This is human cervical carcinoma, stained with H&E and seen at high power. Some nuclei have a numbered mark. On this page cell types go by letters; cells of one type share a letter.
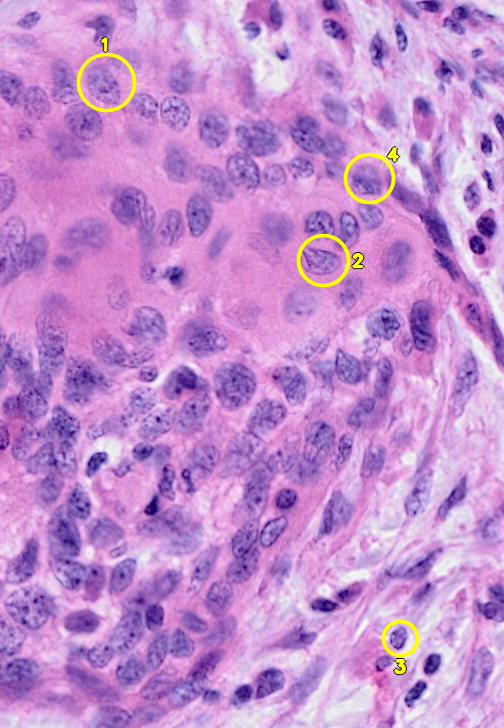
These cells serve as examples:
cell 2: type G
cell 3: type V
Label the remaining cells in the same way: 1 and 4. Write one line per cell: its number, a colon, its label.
1: type G
4: type G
